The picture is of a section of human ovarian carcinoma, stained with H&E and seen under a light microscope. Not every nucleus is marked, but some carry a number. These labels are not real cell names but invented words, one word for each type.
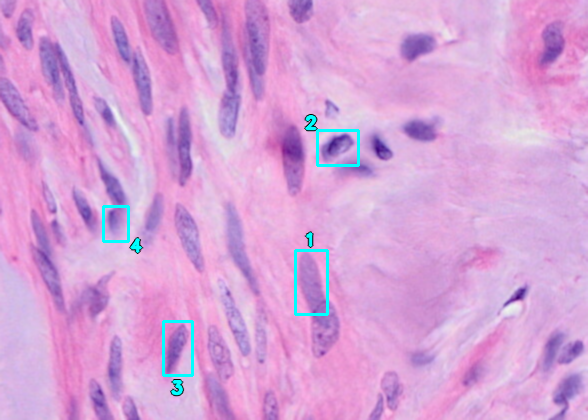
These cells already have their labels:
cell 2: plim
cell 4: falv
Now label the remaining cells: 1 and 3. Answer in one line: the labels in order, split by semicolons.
falv; falv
